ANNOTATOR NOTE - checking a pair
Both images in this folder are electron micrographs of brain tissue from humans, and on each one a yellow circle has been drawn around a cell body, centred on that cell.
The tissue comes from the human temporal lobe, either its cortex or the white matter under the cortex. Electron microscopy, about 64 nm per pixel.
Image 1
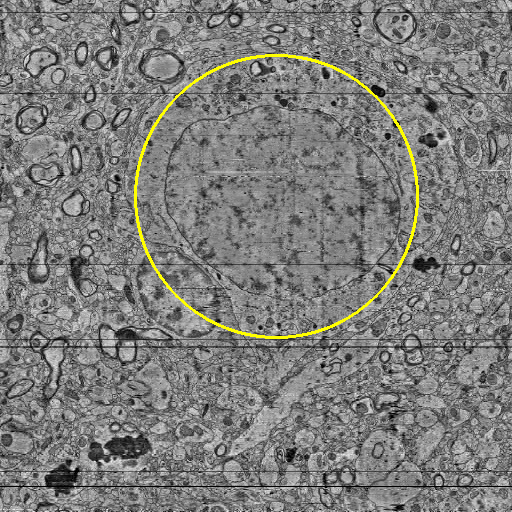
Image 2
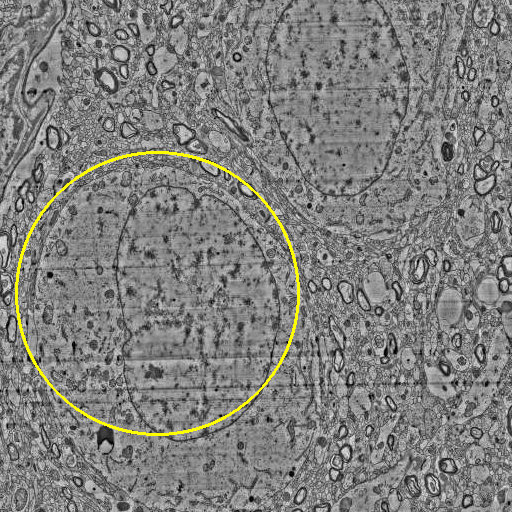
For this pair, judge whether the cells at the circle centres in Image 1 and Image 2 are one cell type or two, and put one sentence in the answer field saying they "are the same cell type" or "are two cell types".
For this pair, the cells at the circle centres in Images 1 and 2 are the same cell type.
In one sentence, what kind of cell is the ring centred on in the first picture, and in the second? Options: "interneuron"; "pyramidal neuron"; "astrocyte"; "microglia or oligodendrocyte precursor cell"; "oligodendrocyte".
The second cell is a pyramidal neuron, just as the first is.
